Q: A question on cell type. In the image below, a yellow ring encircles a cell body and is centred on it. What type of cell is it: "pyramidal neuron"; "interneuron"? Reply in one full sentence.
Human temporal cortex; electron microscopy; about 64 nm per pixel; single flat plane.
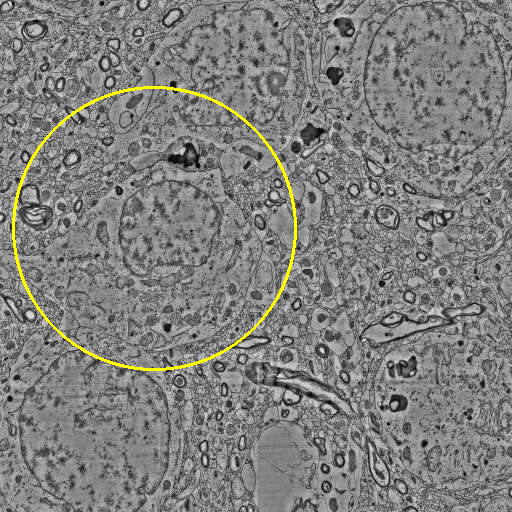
It is a pyramidal neuron whose cell body sits at the centre of the yellow ring in the image.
